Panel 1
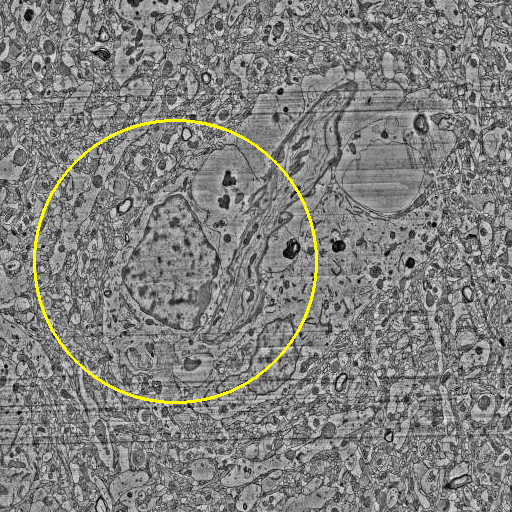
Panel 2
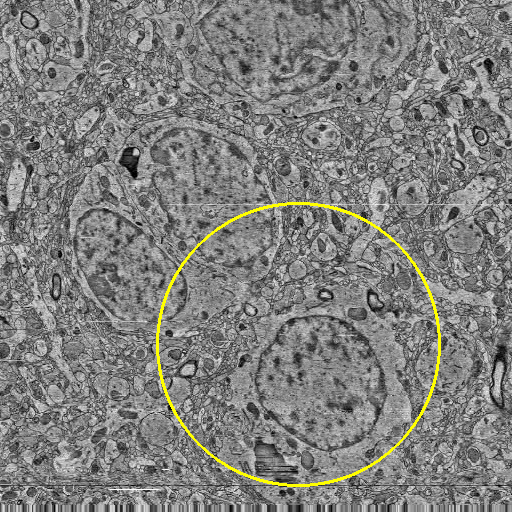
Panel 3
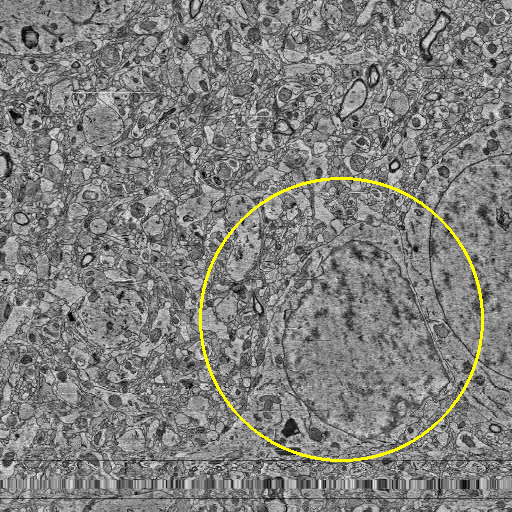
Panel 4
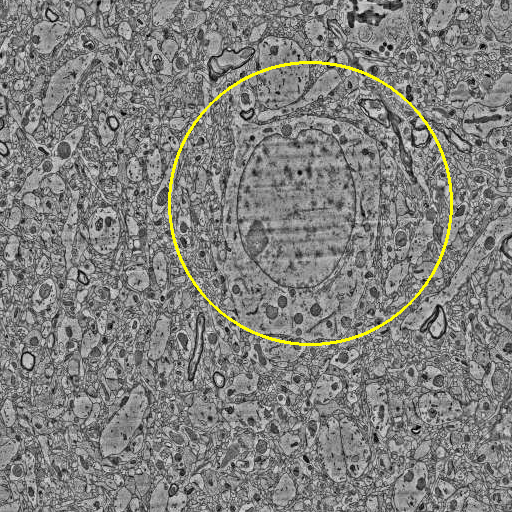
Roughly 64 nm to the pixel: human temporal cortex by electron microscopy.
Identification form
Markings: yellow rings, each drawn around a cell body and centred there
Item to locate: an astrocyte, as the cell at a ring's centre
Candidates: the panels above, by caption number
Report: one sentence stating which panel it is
It is Panel 2.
